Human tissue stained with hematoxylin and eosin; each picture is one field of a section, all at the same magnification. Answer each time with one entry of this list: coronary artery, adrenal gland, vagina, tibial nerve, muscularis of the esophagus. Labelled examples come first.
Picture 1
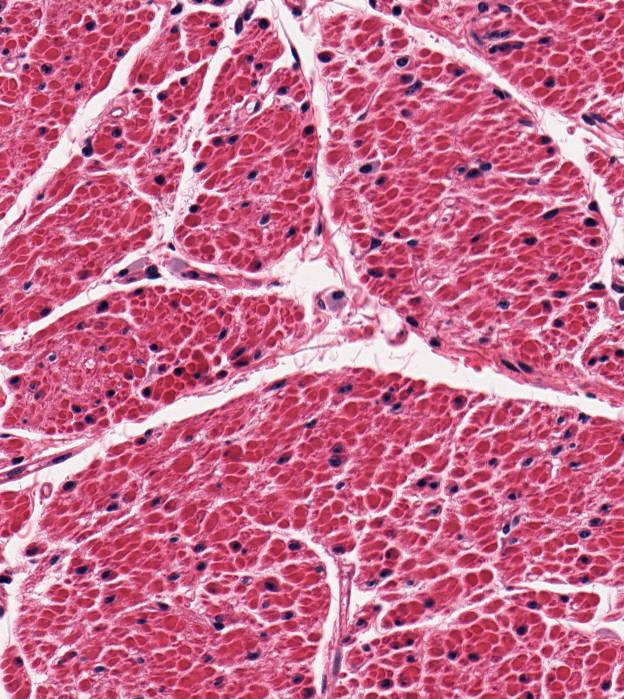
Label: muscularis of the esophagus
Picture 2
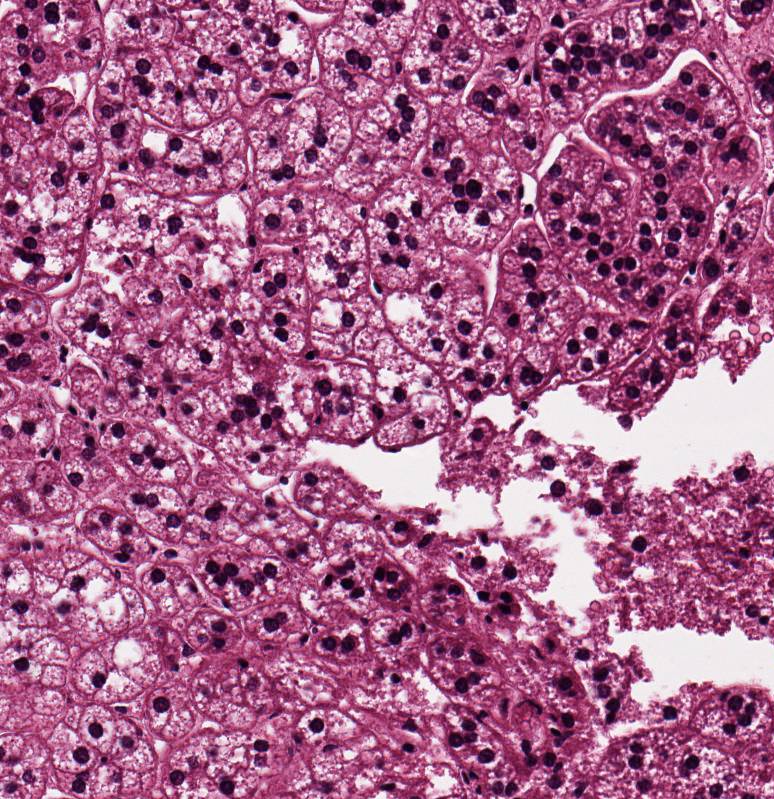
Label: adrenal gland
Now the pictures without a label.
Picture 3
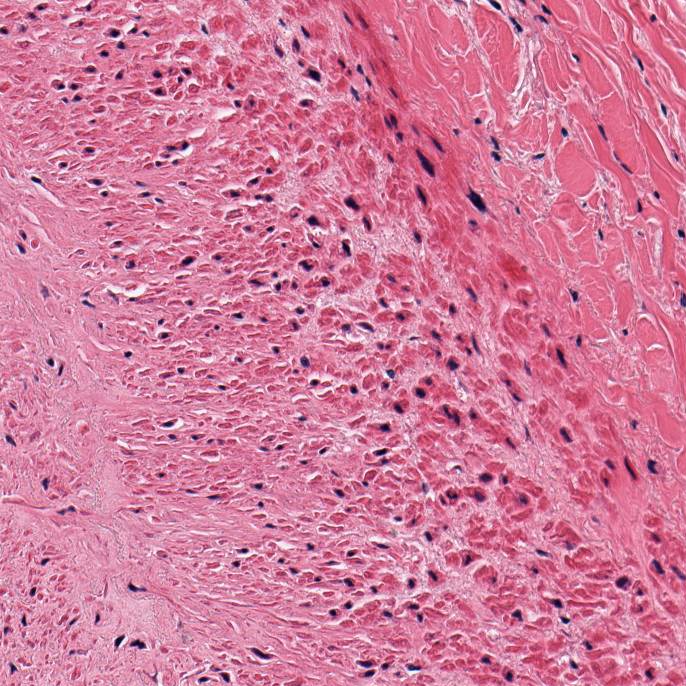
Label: coronary artery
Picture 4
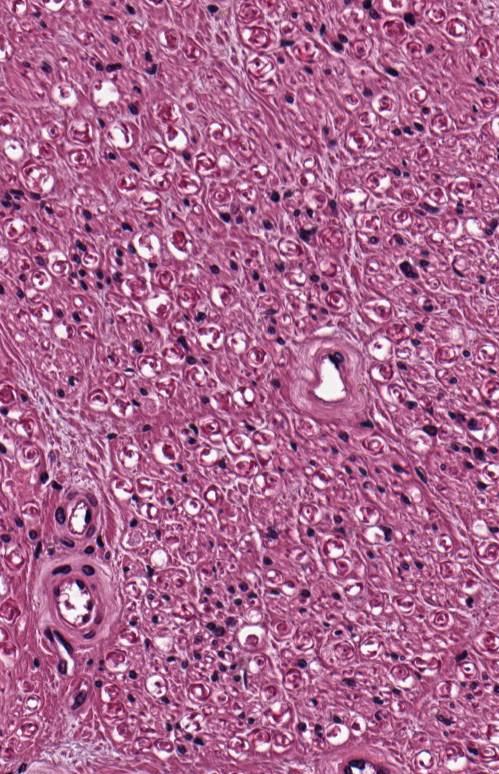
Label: tibial nerve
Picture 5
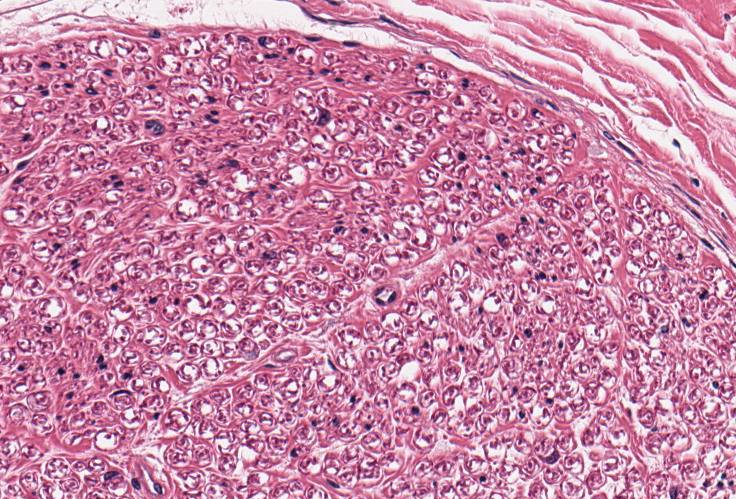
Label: tibial nerve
